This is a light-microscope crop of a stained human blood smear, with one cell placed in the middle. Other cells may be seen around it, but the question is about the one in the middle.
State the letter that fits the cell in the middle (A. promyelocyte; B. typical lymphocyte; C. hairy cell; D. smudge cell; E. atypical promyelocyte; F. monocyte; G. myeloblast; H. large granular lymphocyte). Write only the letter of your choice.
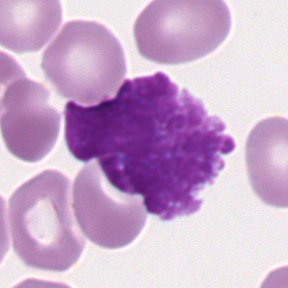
D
